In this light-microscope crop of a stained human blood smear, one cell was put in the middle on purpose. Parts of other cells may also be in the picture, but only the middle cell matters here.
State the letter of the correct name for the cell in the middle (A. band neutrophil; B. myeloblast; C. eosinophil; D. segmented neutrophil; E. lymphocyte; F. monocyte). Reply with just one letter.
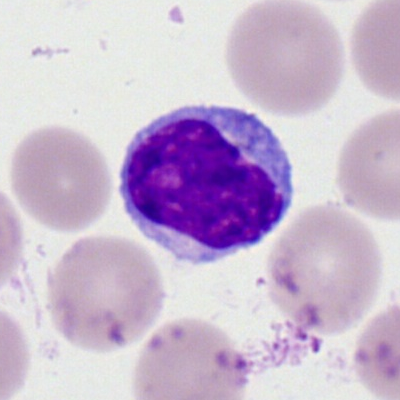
E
